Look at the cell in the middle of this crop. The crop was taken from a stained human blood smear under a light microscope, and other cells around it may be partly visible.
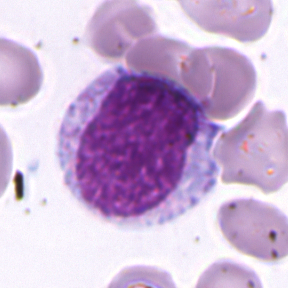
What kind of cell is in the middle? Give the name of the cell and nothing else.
myelocyte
